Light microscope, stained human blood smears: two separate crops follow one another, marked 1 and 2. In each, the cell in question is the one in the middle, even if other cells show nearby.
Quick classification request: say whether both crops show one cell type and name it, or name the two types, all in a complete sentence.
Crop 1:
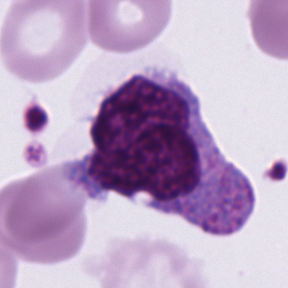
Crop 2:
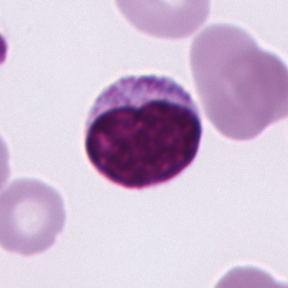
No, crop 1 shows a monocyte, with a large granular lymphocyte shown in crop 2.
